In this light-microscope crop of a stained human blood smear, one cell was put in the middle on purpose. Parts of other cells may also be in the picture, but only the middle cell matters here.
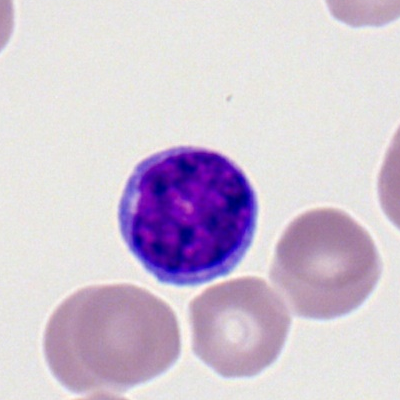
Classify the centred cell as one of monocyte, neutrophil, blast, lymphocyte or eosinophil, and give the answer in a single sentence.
The centrally positioned cell in the crop represents a lymphocyte.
